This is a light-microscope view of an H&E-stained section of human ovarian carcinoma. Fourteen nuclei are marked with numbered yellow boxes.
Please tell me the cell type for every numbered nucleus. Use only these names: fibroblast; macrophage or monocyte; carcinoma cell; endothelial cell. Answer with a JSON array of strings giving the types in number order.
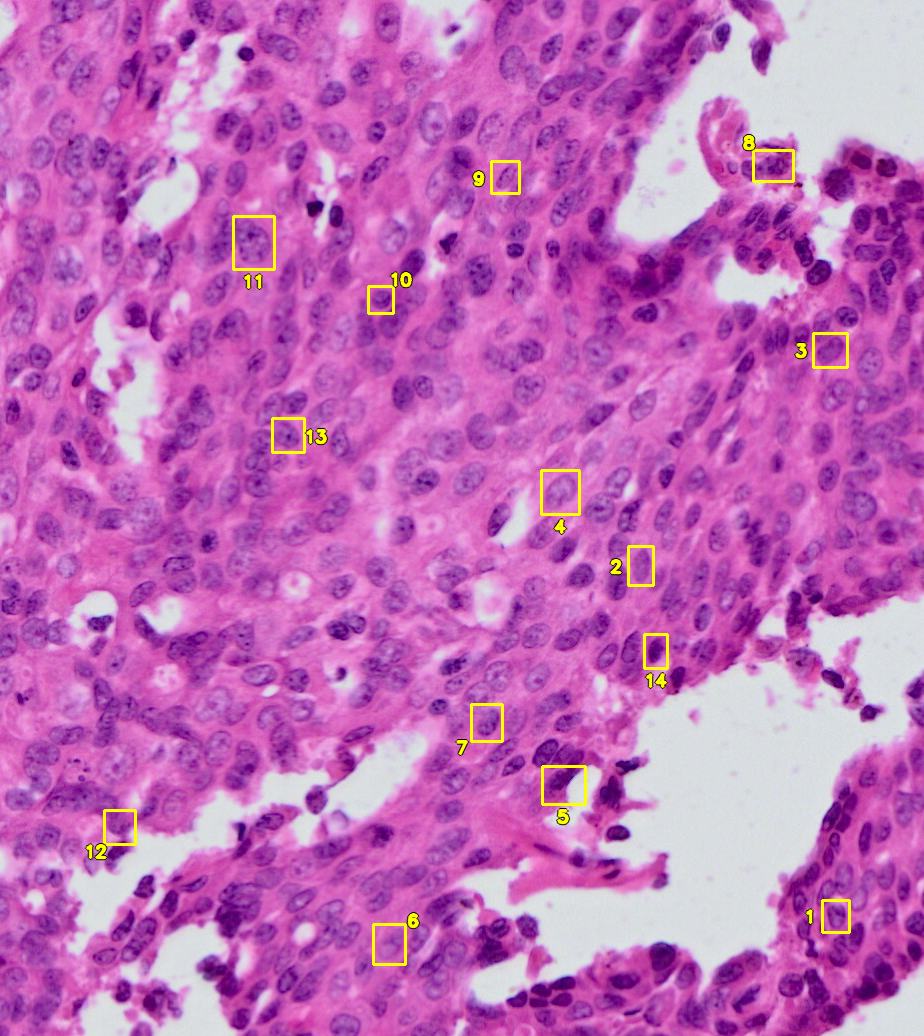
["macrophage or monocyte", "carcinoma cell", "carcinoma cell", "carcinoma cell", "carcinoma cell", "carcinoma cell", "macrophage or monocyte", "macrophage or monocyte", "macrophage or monocyte", "macrophage or monocyte", "carcinoma cell", "carcinoma cell", "macrophage or monocyte", "carcinoma cell"]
